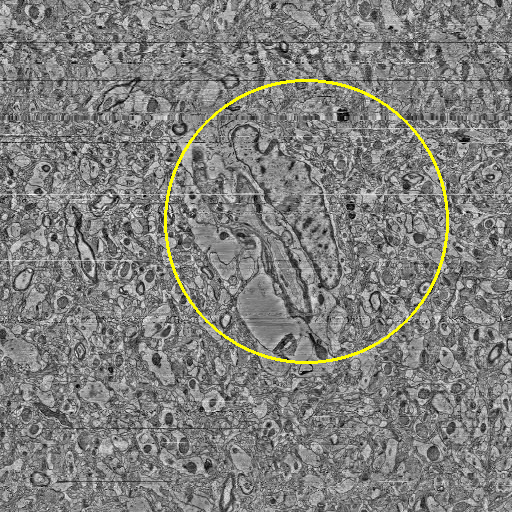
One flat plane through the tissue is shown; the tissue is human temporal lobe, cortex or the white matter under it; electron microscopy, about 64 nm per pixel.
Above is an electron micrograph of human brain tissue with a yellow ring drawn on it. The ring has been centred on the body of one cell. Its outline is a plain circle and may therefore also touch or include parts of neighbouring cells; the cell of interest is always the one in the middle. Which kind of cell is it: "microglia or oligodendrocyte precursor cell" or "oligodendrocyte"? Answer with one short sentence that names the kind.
The ring's central cell body is that of a microglial cell or oligodendrocyte precursor cell.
